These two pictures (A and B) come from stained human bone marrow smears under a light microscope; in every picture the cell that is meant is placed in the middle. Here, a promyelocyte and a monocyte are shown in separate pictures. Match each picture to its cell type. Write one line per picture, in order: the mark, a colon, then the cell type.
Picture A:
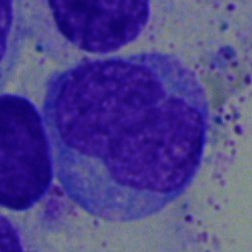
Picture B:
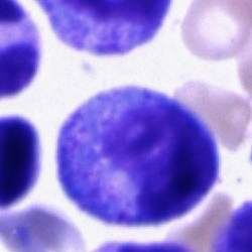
A: monocyte
B: promyelocyte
